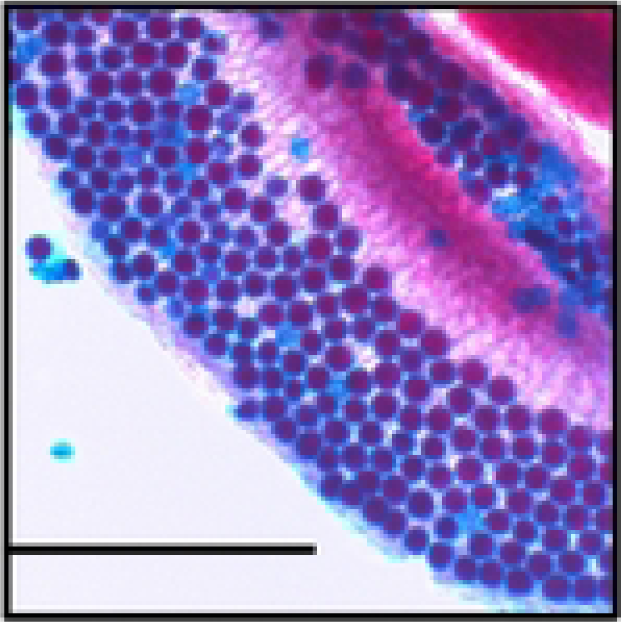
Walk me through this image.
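This is an anther whose locule is packed with round pollen grains, most of them full and stained dark purple-red. The anther wall tissue runs along the upper right in pink-magenta.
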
